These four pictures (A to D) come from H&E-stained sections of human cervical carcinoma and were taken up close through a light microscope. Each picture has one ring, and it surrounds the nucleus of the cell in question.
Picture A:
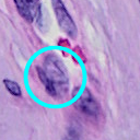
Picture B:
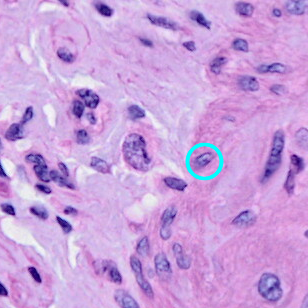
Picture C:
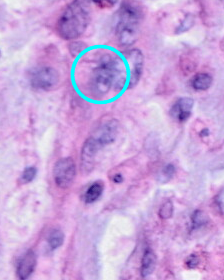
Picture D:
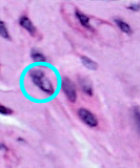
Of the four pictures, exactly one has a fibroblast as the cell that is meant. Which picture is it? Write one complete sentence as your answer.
The fibroblast is the one in picture D.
